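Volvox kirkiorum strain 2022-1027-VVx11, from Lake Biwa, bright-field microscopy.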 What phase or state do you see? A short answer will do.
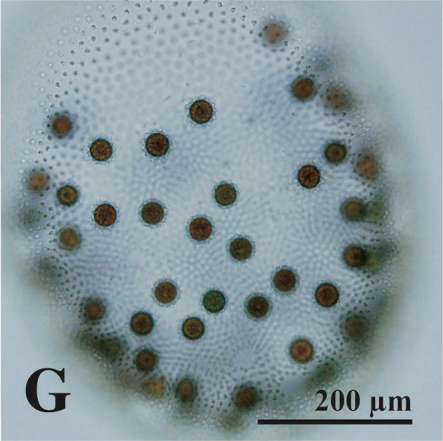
matured zygotes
